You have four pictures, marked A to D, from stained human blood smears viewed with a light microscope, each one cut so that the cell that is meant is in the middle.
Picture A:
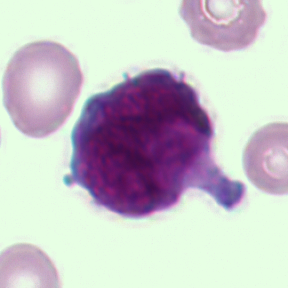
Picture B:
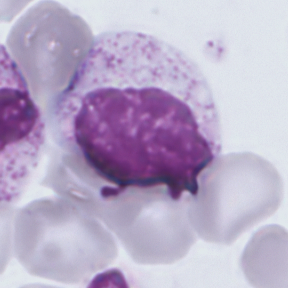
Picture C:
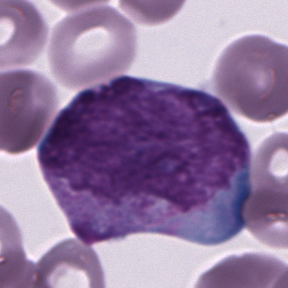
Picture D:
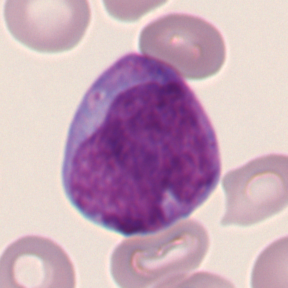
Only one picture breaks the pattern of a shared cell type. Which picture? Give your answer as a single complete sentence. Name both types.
The different one is picture B; it shows a myelocyte, whereas all the others show atypical promyelocytes.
